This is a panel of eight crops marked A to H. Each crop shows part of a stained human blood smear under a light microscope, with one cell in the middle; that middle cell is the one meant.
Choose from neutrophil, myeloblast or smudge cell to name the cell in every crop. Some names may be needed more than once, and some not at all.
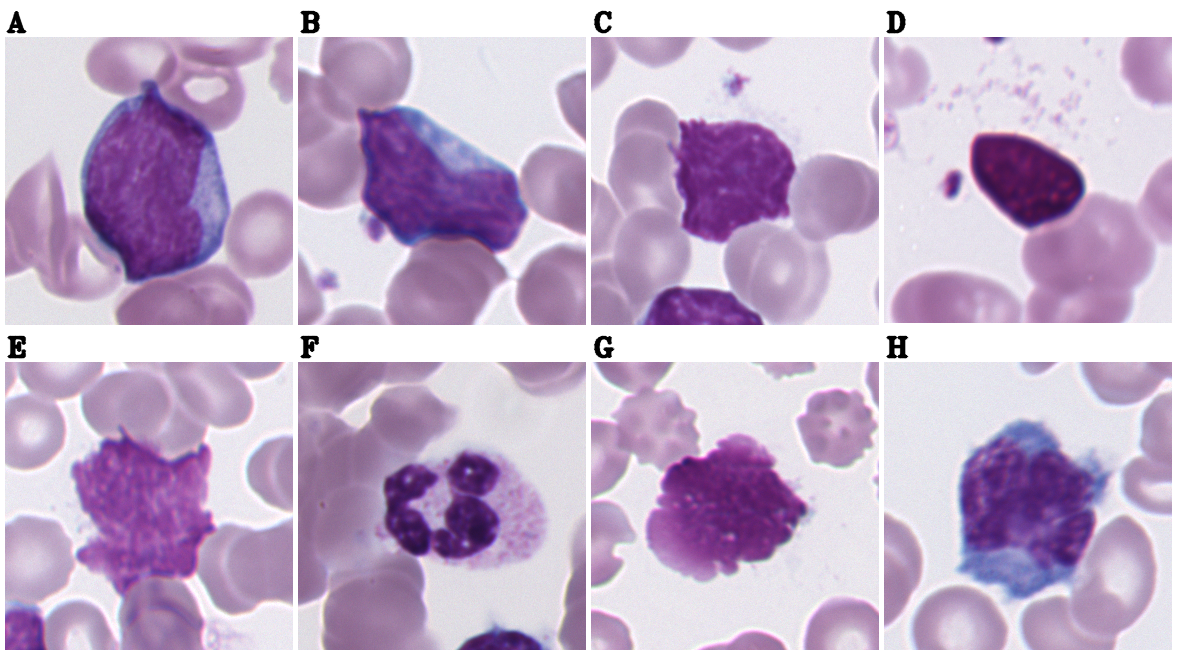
A: myeloblast
B: myeloblast
C: smudge cell
D: smudge cell
E: smudge cell
F: neutrophil
G: smudge cell
H: myeloblast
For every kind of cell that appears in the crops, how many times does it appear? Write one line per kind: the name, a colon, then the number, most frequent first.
smudge cell: 4
myeloblast: 3
neutrophil: 1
